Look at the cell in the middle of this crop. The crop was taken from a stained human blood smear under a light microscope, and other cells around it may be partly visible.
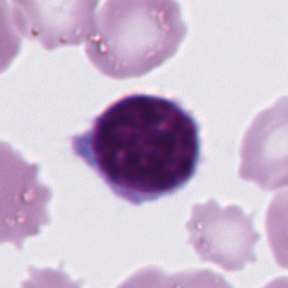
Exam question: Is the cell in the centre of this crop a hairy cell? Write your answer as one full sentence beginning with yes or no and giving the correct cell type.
No, it is a typical lymphocyte and not a hairy cell that occupies the middle of the crop.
